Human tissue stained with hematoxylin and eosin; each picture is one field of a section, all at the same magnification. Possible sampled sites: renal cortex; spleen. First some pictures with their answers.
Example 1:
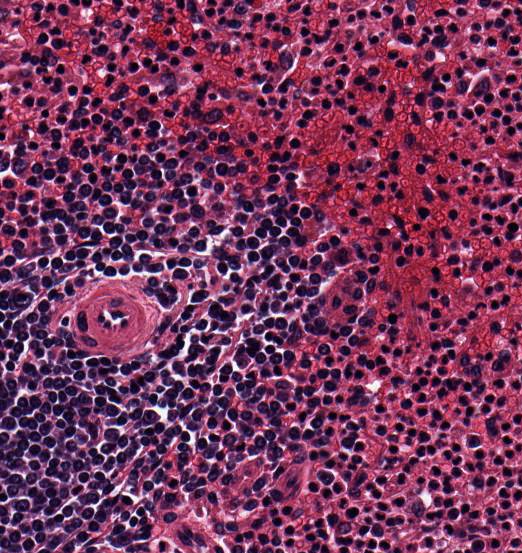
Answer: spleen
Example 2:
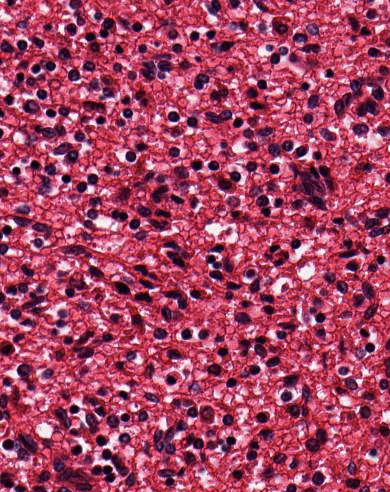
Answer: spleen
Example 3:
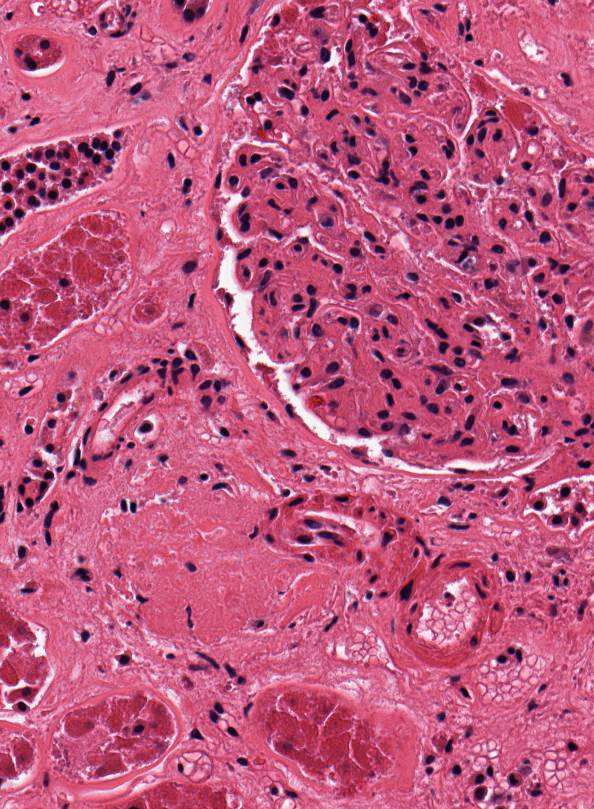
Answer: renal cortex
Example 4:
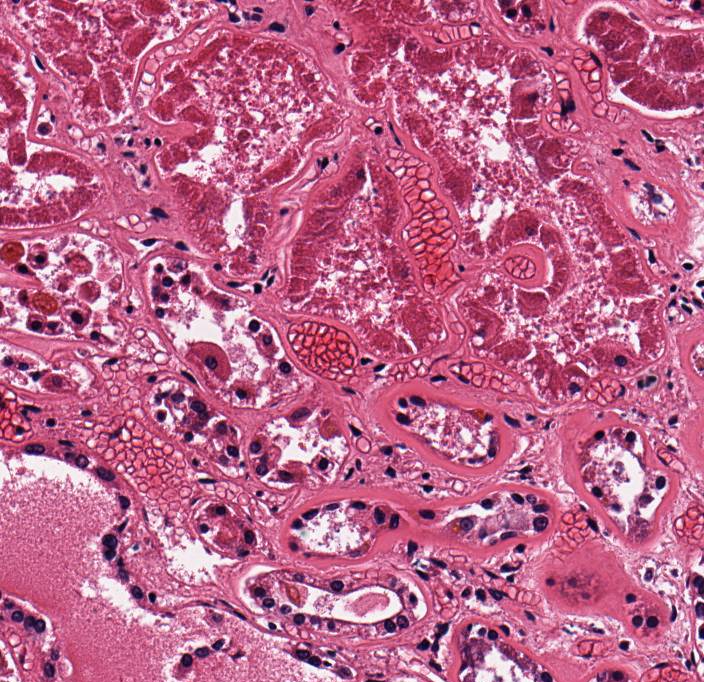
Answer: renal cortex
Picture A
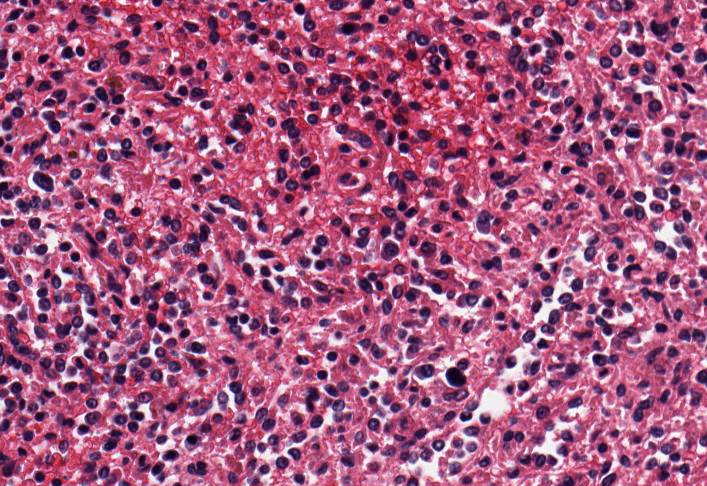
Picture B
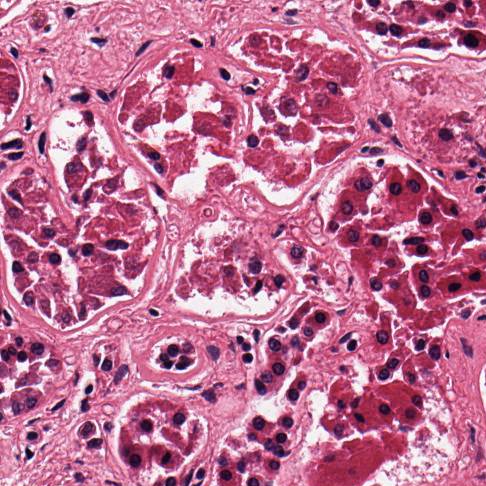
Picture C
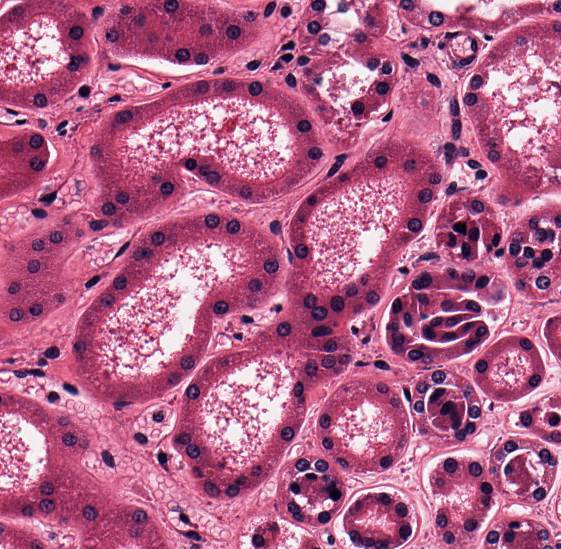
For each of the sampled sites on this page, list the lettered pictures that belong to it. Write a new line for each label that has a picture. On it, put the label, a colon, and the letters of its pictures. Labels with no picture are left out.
renal cortex: B, C
spleen: A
